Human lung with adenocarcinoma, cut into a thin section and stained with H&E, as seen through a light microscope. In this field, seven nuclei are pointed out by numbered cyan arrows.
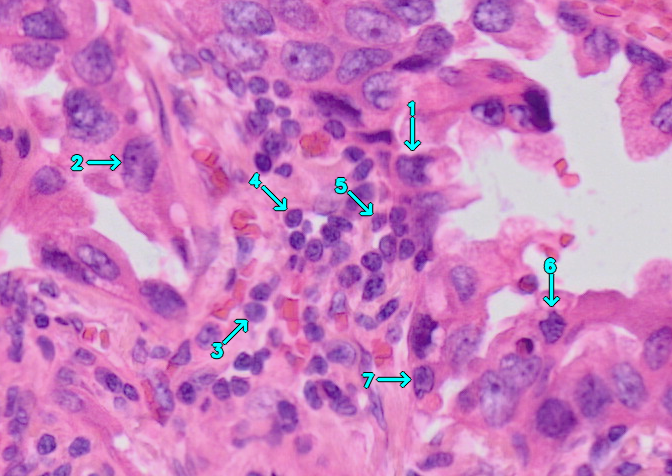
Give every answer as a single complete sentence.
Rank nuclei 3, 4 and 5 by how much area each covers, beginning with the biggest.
From largest to smallest, the order is 3, 4, 5.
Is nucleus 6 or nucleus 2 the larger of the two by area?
Nucleus 2 is larger, with an area about 2.5 times that of nucleus 6.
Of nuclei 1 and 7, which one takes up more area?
The larger nucleus is 1, at roughly 1.5 times the area of 7.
